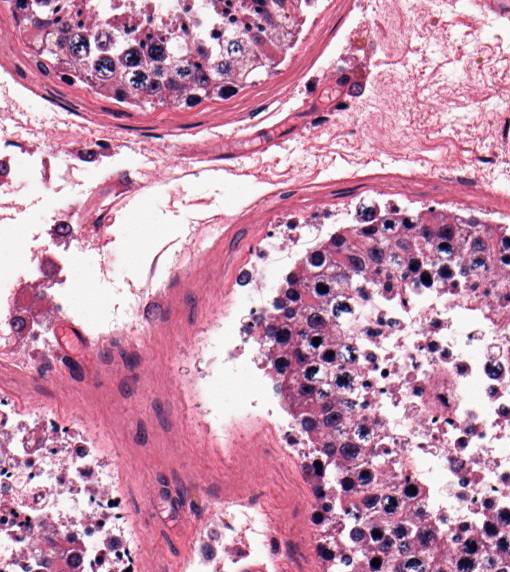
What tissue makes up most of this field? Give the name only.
seminiferous tubule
